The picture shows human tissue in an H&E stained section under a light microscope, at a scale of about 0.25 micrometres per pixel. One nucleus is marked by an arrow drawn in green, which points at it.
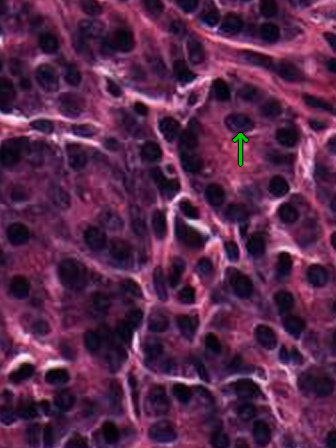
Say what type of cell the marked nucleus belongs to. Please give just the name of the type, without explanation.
pancreatic acinar cell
